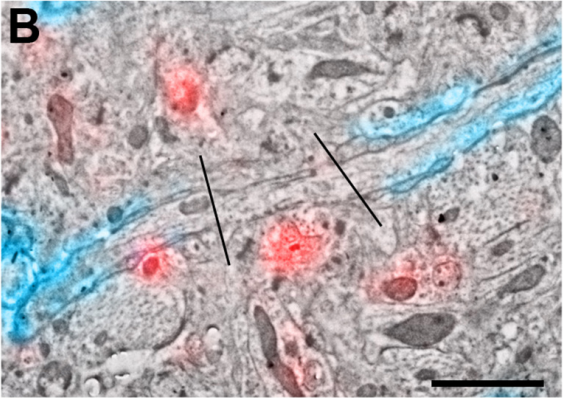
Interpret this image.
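The axon itself is not red, and its cyan myelin sheath stops at the two black lines, leaving an unwrapped gap between them. Scattered red profiles lie in the surrounding neuropil.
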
